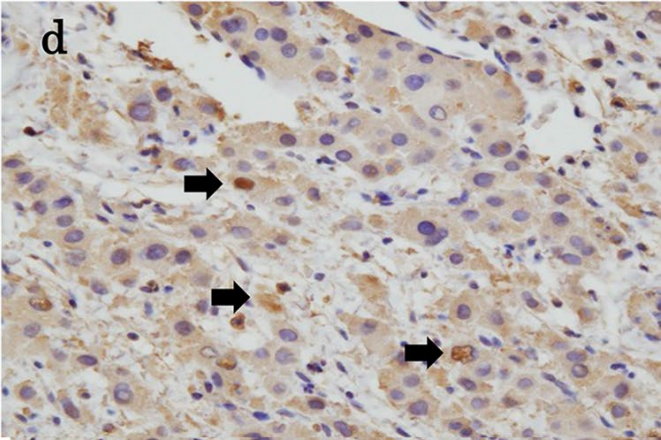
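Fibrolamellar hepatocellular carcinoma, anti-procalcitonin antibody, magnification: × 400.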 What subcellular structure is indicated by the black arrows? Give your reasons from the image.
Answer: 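Pale bodies. Small round cytoplasmic inclusions are stained dark brown. They stain more intensely than the lighter brown cytoplasm around them.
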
